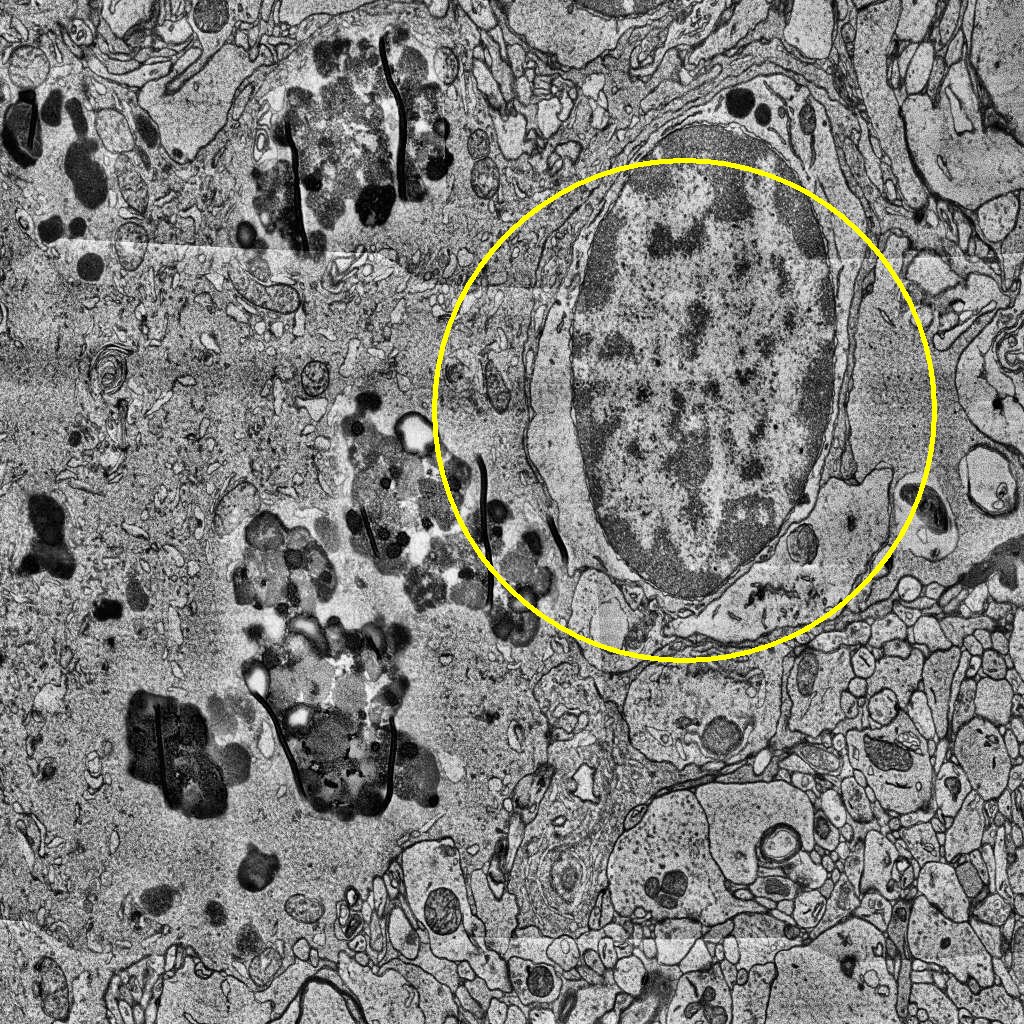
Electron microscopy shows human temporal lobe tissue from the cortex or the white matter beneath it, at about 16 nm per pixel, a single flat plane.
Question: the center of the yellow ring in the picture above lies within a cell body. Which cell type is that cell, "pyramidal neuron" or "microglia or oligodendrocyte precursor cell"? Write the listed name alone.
microglia or oligodendrocyte precursor cell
